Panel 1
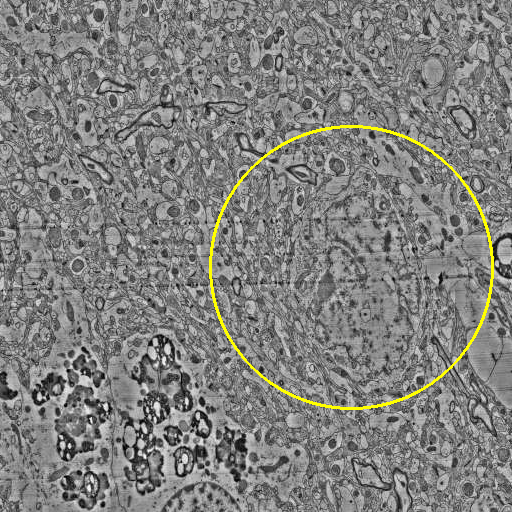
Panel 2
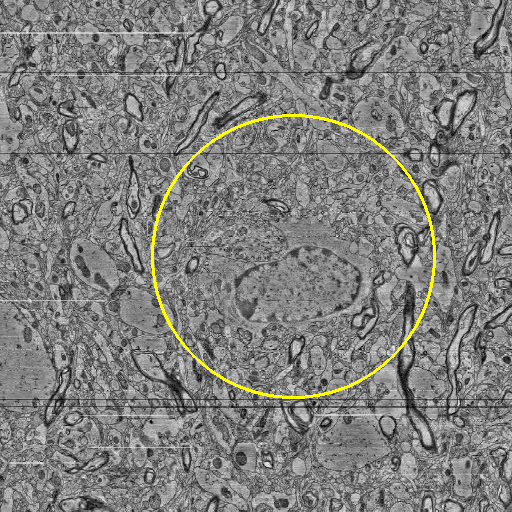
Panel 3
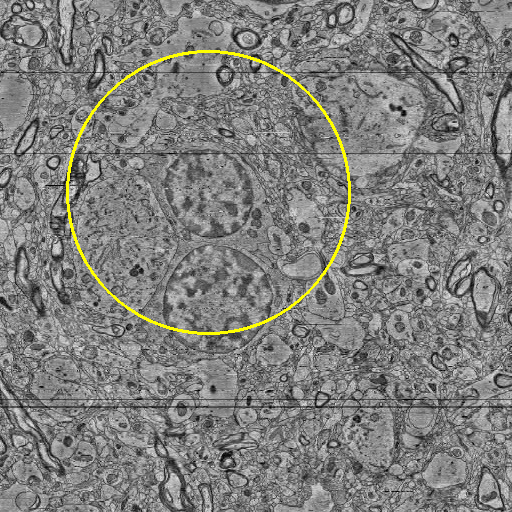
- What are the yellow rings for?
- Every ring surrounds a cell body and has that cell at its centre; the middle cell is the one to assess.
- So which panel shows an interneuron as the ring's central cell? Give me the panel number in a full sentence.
The panel whose ring is centred on the cell in question is panel 1.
